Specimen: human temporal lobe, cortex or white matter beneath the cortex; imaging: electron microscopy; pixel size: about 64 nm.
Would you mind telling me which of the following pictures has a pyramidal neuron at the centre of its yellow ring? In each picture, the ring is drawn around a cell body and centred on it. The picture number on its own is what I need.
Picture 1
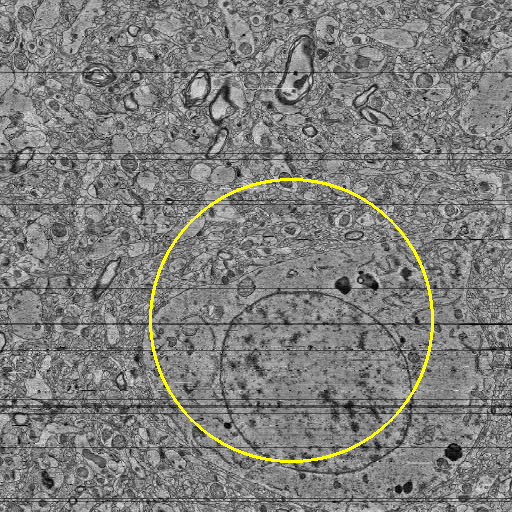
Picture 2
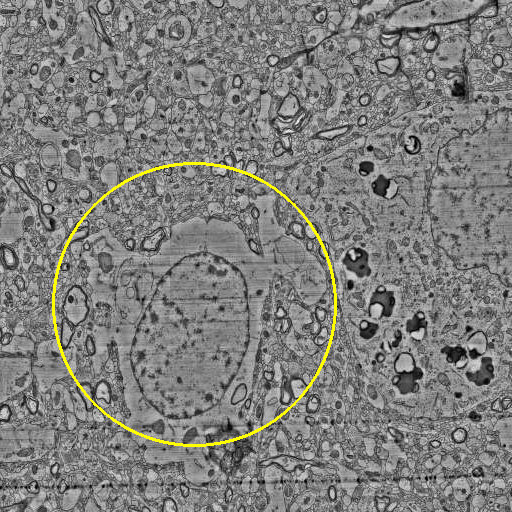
1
